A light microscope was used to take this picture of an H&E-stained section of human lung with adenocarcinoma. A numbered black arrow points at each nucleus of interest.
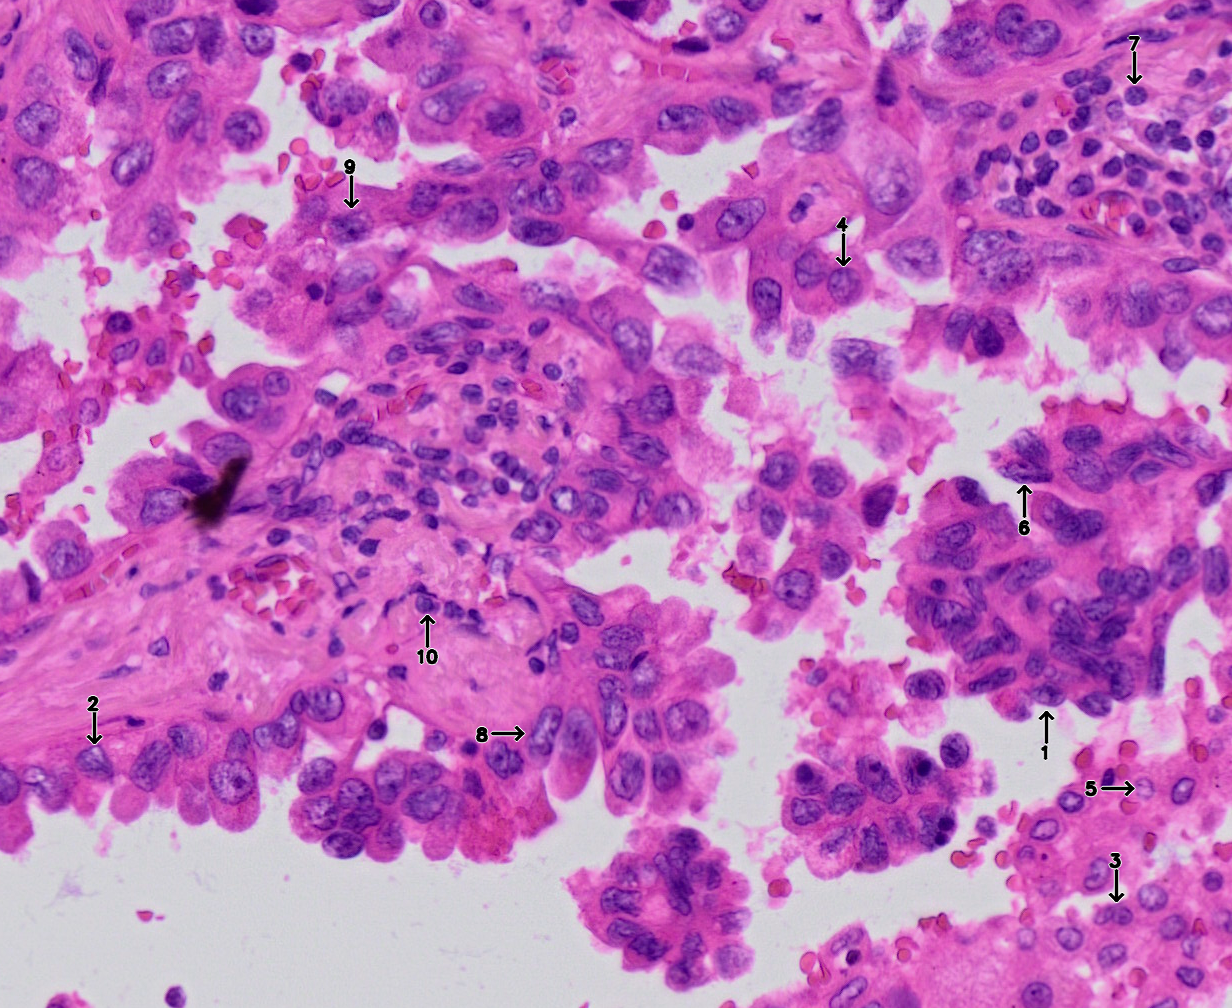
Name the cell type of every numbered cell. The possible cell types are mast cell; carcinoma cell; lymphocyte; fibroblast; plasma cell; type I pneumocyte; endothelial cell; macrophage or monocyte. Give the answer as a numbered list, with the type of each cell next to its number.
1. carcinoma cell
2. carcinoma cell
3. macrophage or monocyte
4. carcinoma cell
5. macrophage or monocyte
6. carcinoma cell
7. lymphocyte
8. carcinoma cell
9. carcinoma cell
10. lymphocyte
